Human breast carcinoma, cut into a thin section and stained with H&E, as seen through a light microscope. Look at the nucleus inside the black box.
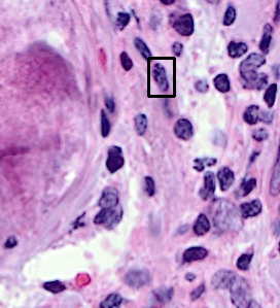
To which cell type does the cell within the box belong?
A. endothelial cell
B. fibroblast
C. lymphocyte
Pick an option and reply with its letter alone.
C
